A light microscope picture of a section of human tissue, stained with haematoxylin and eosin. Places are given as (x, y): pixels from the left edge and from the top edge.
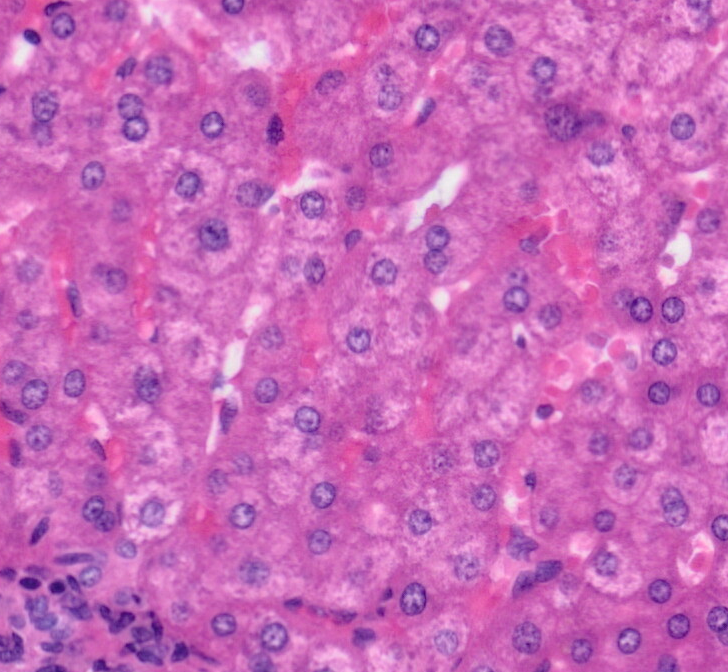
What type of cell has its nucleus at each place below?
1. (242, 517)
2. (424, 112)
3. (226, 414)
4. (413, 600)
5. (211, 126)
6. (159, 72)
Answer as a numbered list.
1. hepatocyte
2. endothelial cell
3. Kupffer cell
4. hepatocyte
5. hepatocyte
6. hepatocyte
